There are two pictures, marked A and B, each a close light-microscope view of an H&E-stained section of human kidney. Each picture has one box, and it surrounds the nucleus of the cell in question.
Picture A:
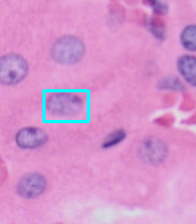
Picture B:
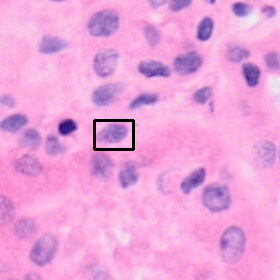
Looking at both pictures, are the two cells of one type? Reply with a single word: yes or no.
no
